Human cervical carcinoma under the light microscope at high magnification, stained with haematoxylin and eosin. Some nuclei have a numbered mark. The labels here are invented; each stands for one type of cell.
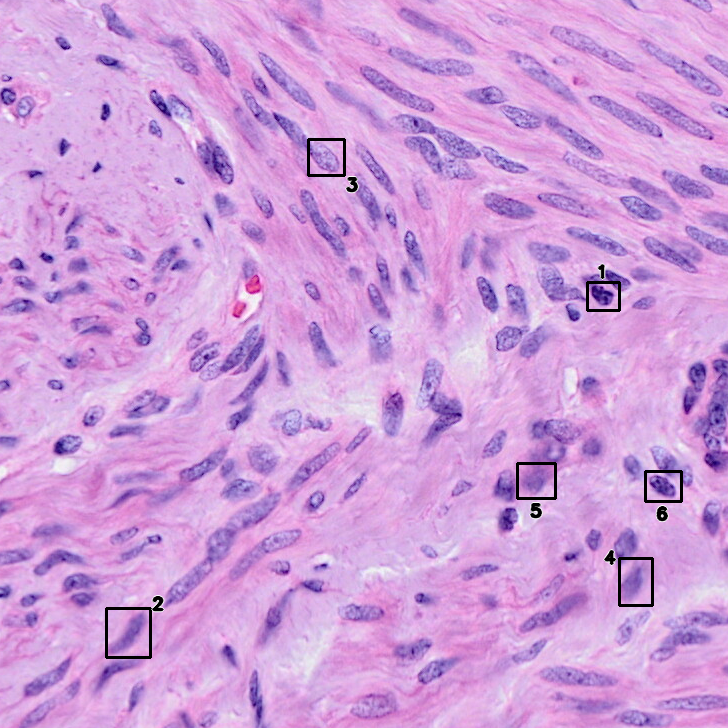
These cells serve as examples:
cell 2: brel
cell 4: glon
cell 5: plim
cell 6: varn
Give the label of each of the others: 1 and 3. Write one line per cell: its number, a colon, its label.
1: varn
3: brel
